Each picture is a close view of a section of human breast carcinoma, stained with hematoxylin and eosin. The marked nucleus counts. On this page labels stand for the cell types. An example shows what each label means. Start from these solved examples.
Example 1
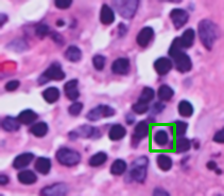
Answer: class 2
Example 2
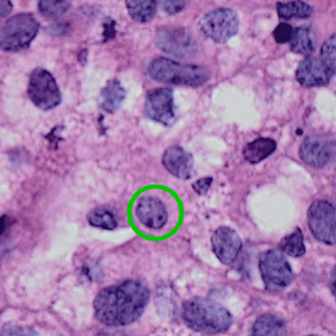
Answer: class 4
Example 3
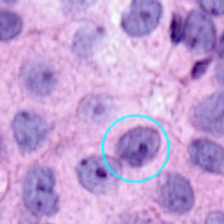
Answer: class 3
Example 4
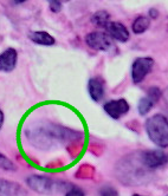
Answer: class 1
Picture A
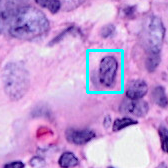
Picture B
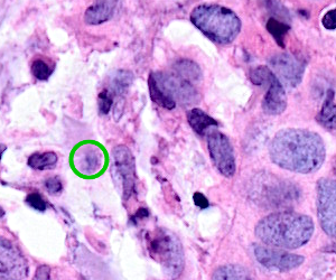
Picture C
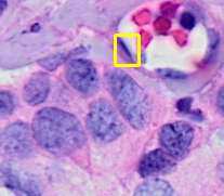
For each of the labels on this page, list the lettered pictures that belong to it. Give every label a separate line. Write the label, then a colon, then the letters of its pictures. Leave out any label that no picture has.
class 4: A, B
class 1: C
